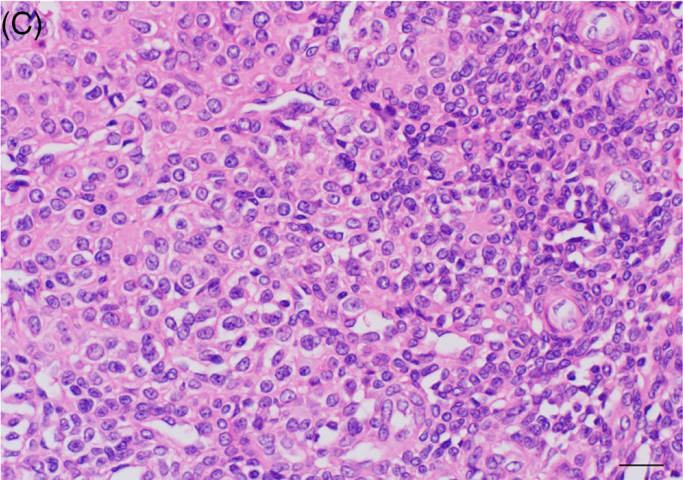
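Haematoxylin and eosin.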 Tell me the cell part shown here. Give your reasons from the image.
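Clear or pale eosinophilic cytoplasm. Cytoplasm around the nuclei is pale pink to nearly clear. Cell borders are faint amid pale cytoplasm.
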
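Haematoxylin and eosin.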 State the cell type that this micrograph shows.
oval‐to‐spindle‐shaped cells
